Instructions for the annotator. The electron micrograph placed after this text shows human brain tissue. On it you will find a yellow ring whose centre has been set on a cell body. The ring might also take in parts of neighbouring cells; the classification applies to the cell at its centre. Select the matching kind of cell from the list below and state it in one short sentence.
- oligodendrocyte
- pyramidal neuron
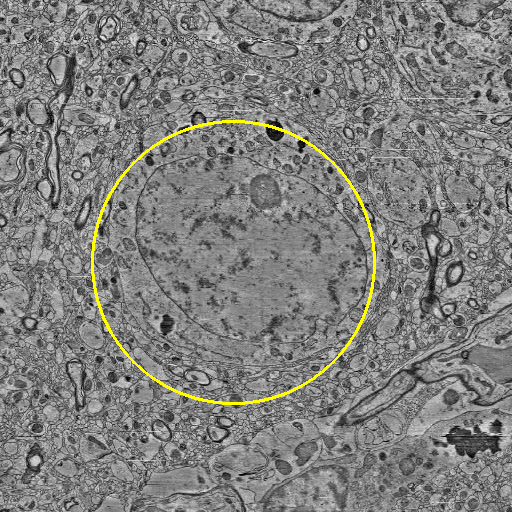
The ring is drawn on the cell body of a pyramidal neuron.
